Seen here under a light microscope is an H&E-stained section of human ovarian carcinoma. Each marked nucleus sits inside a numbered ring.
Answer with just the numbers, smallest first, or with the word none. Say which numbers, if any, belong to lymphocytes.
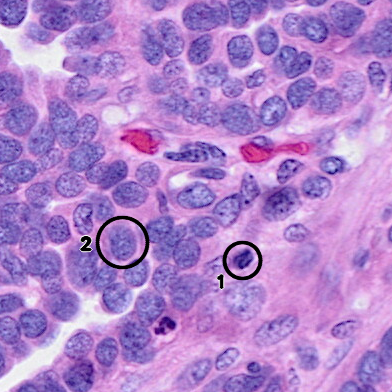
1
